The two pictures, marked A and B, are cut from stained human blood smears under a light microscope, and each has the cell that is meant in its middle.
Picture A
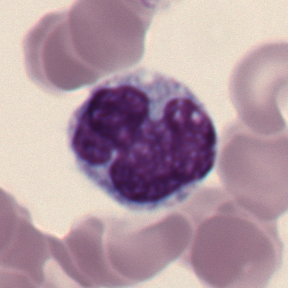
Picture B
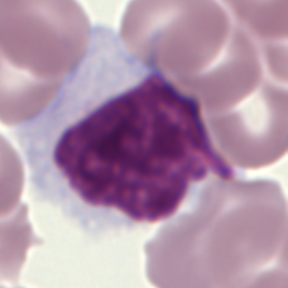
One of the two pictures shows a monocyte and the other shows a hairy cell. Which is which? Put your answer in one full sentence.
Picture A is of a monocyte, and picture B is of a hairy cell.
